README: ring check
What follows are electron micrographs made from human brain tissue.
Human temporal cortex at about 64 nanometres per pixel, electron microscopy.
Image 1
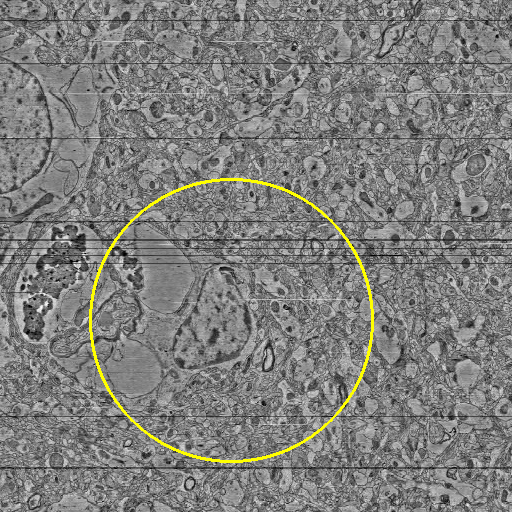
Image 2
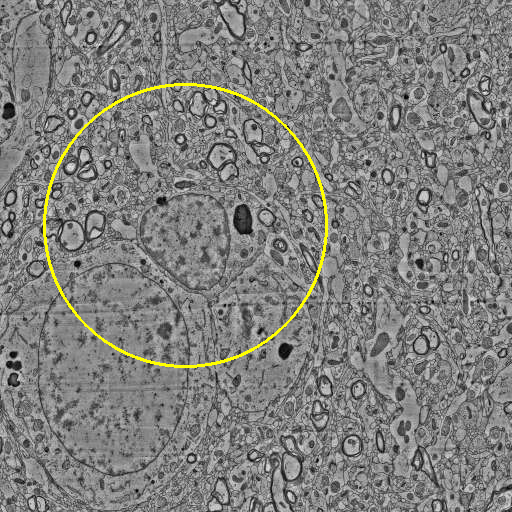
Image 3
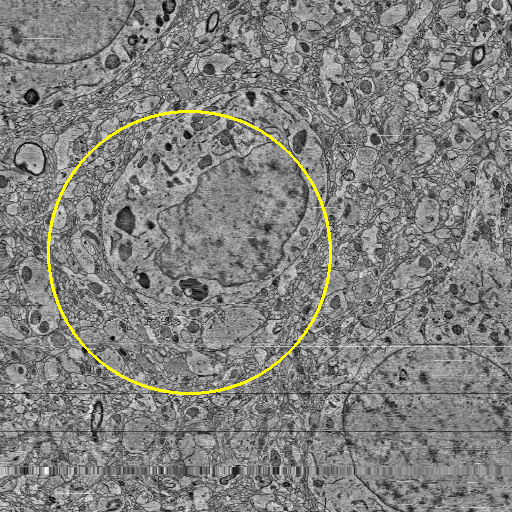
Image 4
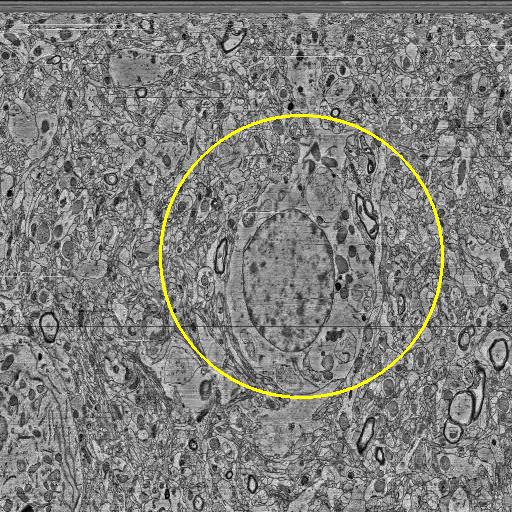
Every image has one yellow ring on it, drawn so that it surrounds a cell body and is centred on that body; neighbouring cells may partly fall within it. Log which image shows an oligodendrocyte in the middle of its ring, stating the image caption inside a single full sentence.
Image 2 is where the cell at the ring's centre matches the one asked for.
